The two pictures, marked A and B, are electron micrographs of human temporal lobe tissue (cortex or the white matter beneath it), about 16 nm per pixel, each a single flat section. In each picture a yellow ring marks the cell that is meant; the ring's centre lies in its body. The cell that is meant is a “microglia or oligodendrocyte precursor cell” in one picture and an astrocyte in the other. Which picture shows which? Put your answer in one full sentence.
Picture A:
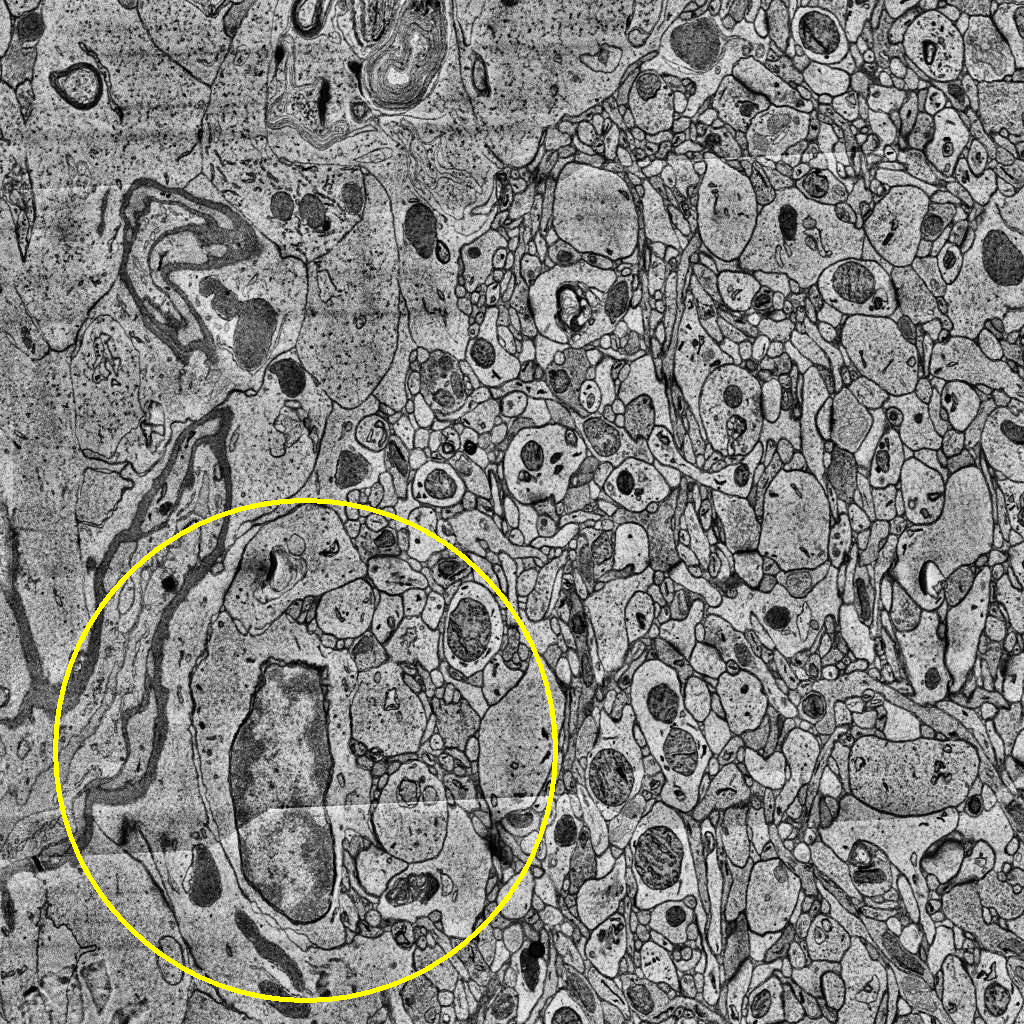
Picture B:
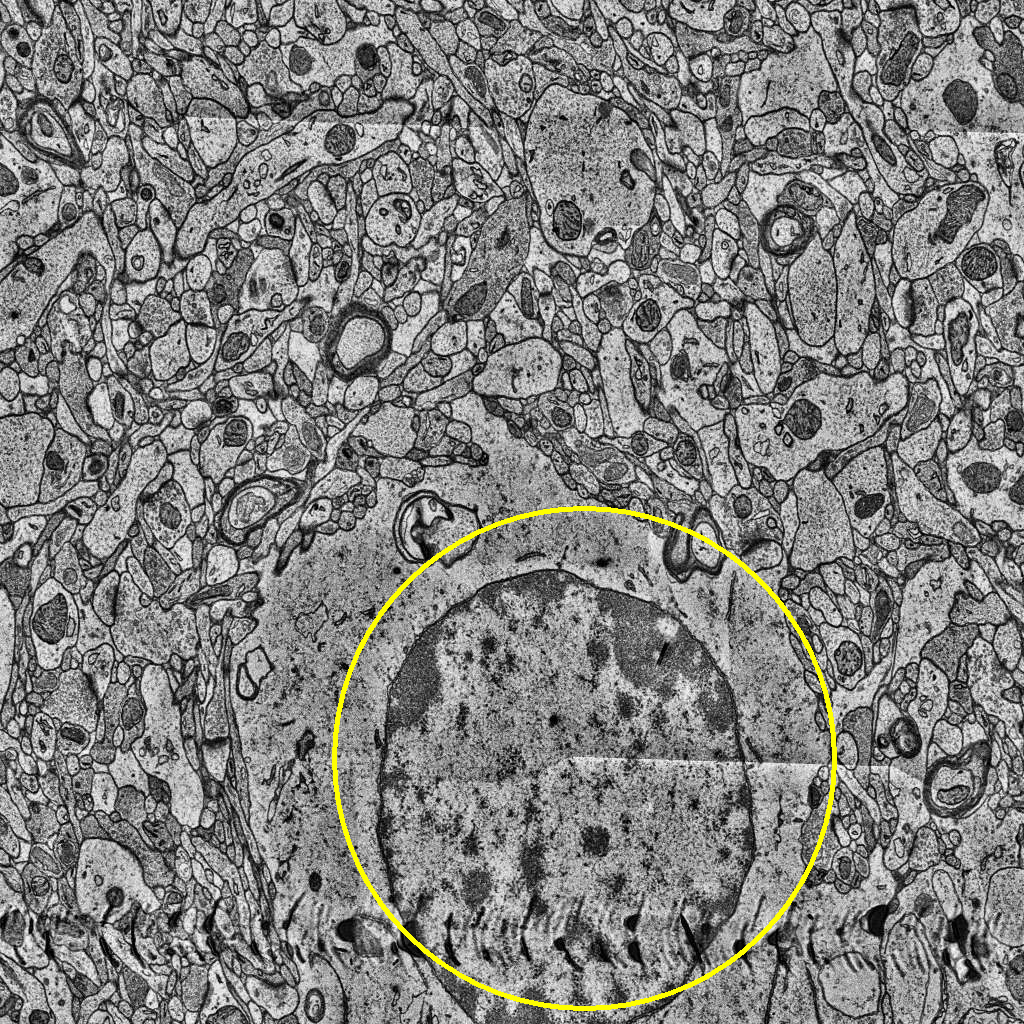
In picture A the cell is a “microglia or oligodendrocyte precursor cell”; in picture B, an astrocyte.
